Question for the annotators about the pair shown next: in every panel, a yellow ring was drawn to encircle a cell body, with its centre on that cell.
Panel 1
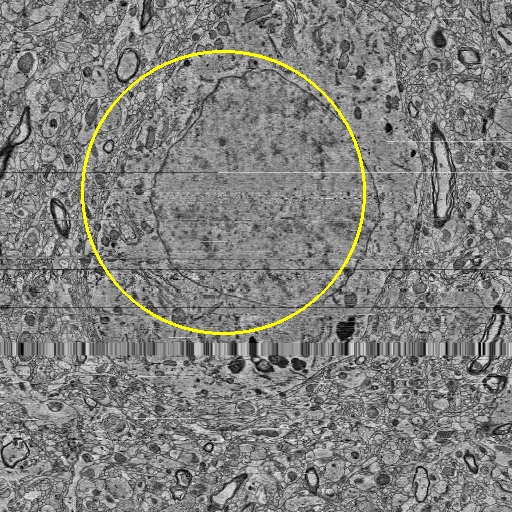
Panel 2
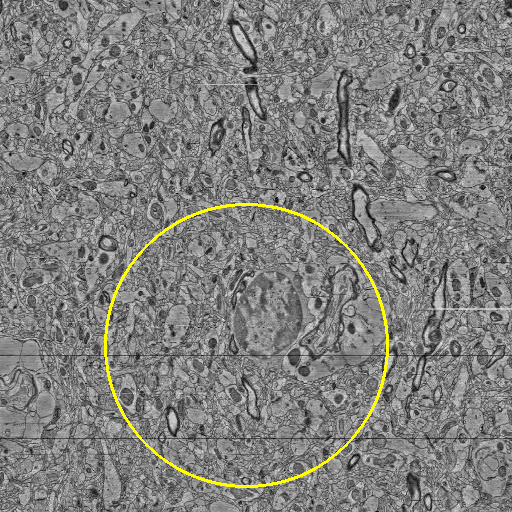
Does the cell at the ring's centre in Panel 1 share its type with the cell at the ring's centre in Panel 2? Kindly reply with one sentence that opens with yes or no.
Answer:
No, in Panels 1 and 2 the cells at the ring centres belong to separate types.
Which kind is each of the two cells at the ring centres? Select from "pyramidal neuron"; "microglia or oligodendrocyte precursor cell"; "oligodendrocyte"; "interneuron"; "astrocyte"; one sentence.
The cell at the centre of the ring is a pyramidal neuron in the first picture and an oligodendrocyte in the second.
